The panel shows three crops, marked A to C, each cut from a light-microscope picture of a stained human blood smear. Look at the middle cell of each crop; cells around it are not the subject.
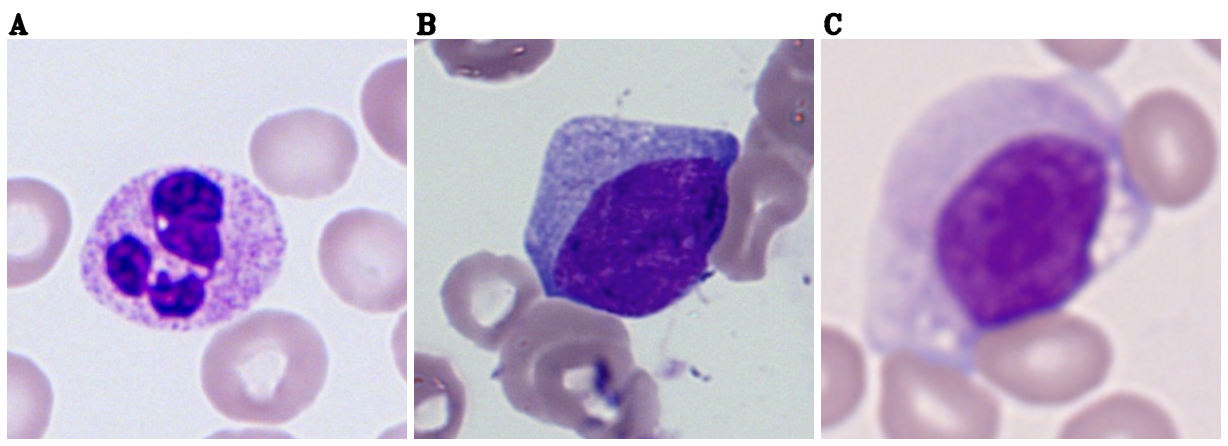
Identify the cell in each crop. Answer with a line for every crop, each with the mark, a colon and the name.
A: neutrophil
B: blast
C: monocyte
